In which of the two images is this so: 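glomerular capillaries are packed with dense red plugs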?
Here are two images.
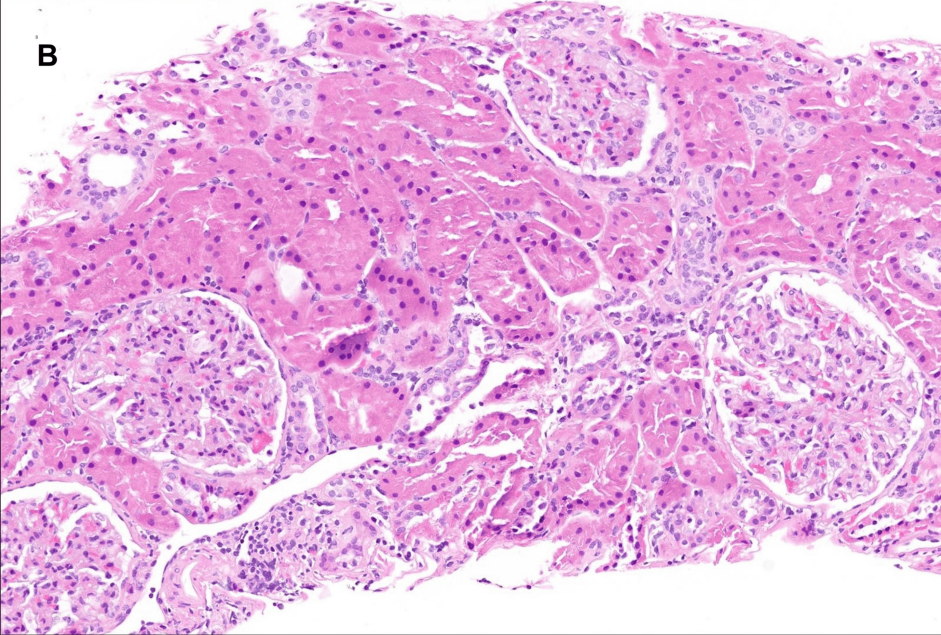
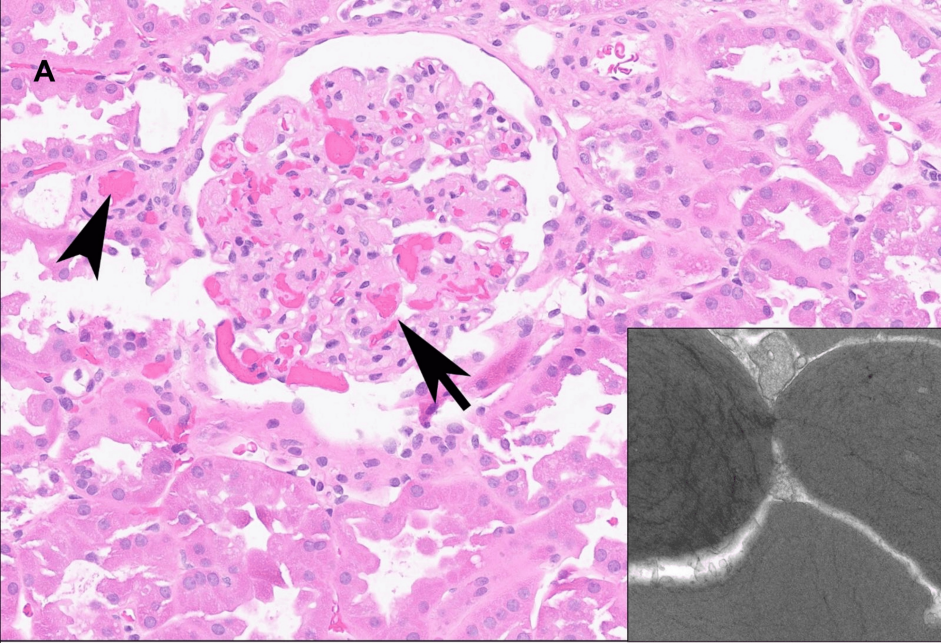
the second image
